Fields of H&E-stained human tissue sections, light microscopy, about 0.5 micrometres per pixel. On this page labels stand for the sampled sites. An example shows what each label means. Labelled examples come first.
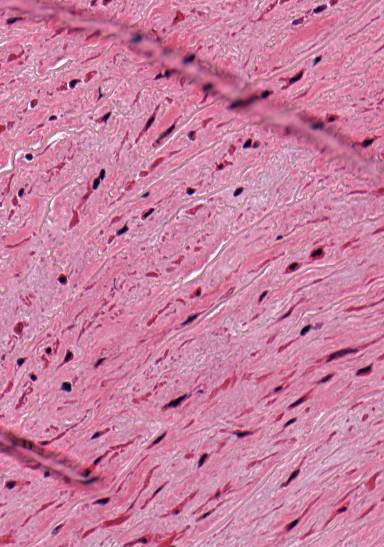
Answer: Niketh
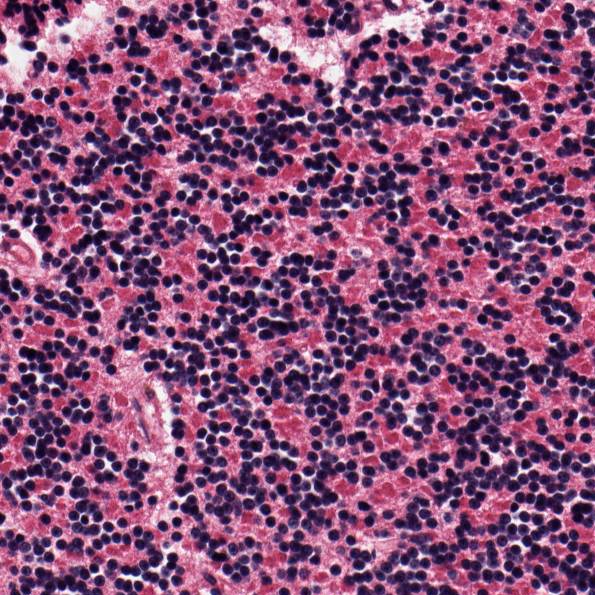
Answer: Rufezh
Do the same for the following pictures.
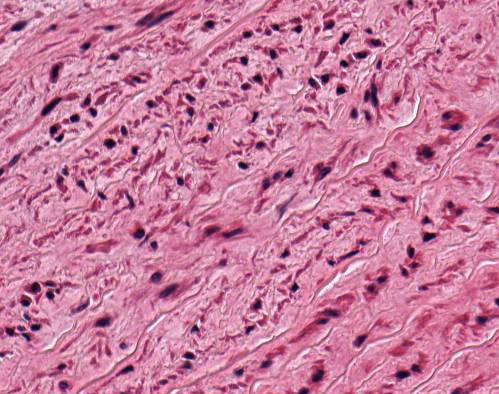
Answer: Niketh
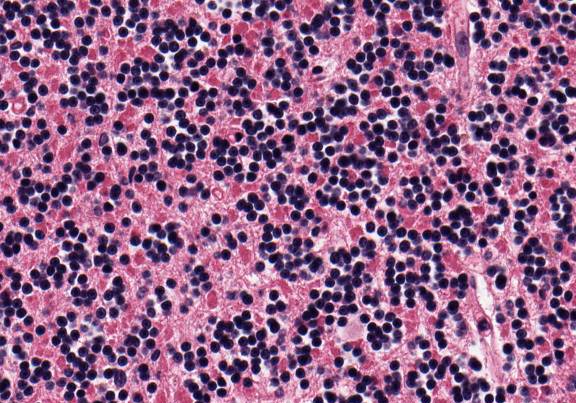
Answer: Rufezh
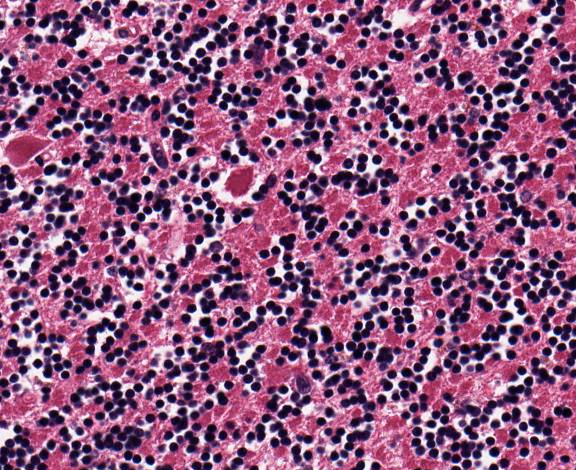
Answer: Rufezh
